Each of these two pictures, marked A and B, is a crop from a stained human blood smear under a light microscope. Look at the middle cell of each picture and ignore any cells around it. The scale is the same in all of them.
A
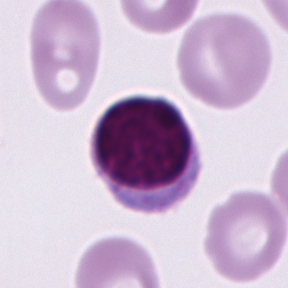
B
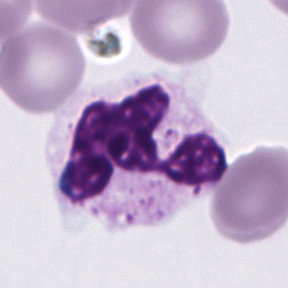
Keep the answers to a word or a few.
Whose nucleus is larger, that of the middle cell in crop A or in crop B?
B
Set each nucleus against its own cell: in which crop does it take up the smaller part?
B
